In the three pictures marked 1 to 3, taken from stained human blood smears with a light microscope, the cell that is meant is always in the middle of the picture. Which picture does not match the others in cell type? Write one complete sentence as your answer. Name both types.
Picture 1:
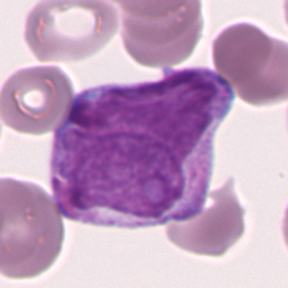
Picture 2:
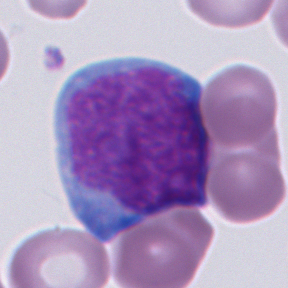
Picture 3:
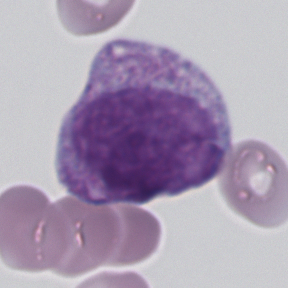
Unlike the rest, which show atypical promyelocytes, picture 2 shows a myeloblast.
